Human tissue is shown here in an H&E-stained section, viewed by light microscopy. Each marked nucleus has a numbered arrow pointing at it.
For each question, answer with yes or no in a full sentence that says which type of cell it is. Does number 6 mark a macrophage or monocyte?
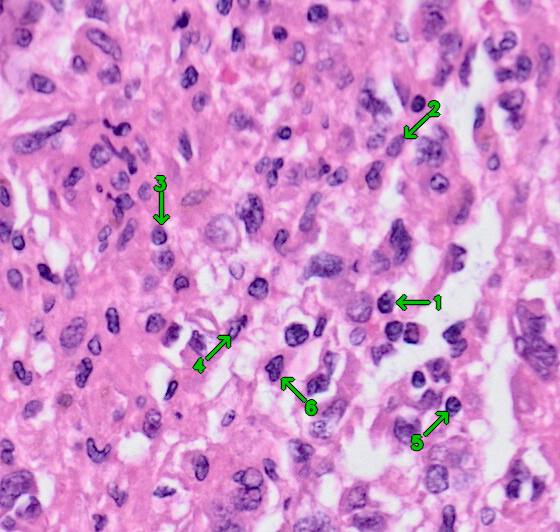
Yes, the one numbered 6 is a macrophage or monocyte.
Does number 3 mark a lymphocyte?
Yes, the cell marked with number 3 is a lymphocyte.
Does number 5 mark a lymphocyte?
Yes, the cell that the number 5 labels is a lymphocyte.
